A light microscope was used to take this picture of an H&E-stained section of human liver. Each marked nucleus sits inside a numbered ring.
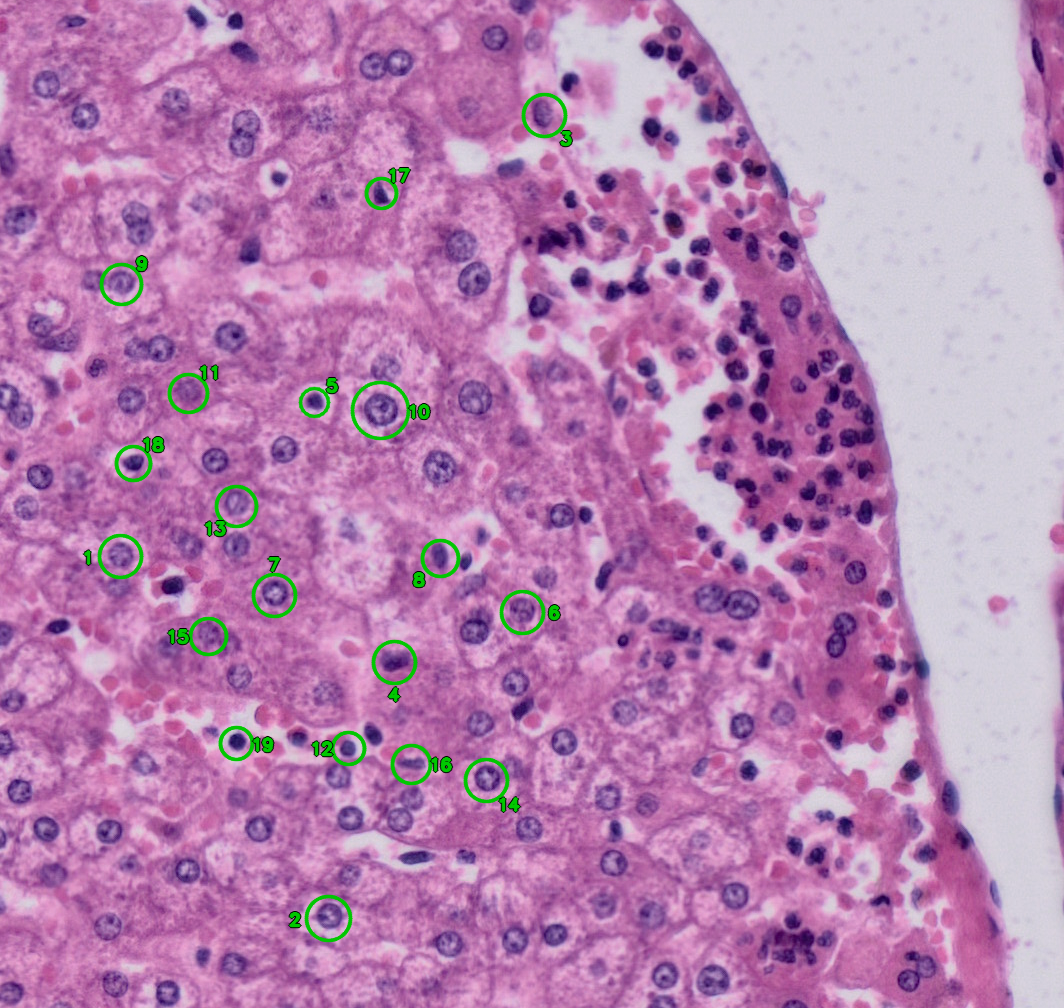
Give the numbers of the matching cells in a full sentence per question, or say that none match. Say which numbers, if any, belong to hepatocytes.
The cells given the numbers 1, 2, 6, 7, 9, 10, 11, 13, 14 and 15 are hepatocytes.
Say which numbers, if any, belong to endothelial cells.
The cells referred to by numbers 16 and 17 are endothelial cells.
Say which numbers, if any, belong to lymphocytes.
The cells whose numbers are 5, 12, 18 and 19 are lymphocytes.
